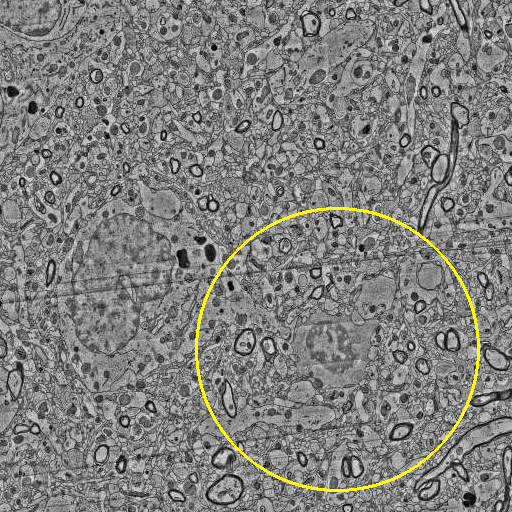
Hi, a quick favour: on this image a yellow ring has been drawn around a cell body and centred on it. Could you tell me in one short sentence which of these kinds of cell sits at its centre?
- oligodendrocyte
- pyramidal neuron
The ring is centred on an oligodendrocyte.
